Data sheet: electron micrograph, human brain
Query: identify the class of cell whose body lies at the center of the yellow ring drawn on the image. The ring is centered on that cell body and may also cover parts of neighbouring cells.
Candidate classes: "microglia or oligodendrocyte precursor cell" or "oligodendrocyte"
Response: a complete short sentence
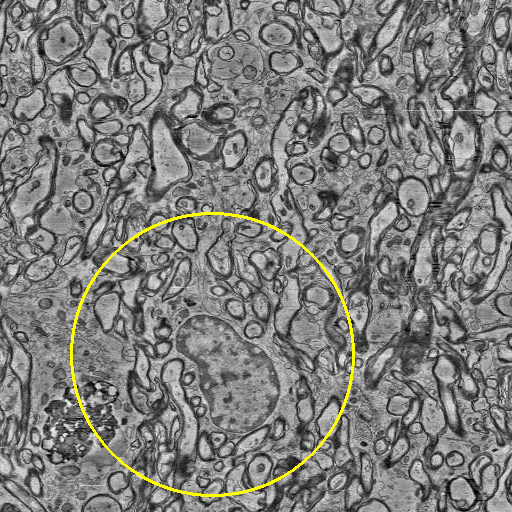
At the center of the ring lies a microglial cell or oligodendrocyte precursor cell.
